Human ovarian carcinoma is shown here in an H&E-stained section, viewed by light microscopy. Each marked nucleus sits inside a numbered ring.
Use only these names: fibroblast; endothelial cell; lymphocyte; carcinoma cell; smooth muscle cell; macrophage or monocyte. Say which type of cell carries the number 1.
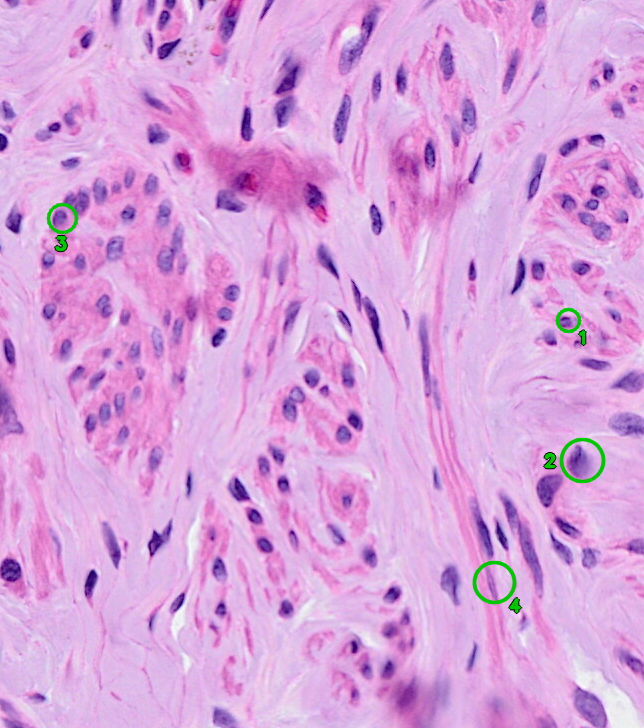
smooth muscle cell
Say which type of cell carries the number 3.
smooth muscle cell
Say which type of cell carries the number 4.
smooth muscle cell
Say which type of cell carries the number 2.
fibroblast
